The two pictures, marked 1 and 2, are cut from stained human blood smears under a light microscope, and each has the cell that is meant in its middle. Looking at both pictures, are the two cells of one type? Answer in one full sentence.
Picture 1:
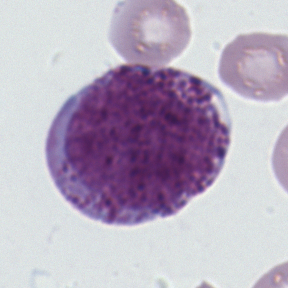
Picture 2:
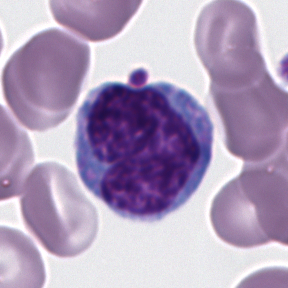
No, the types are not the same, since picture 1 shows a promyelocyte and picture 2 a monocyte.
